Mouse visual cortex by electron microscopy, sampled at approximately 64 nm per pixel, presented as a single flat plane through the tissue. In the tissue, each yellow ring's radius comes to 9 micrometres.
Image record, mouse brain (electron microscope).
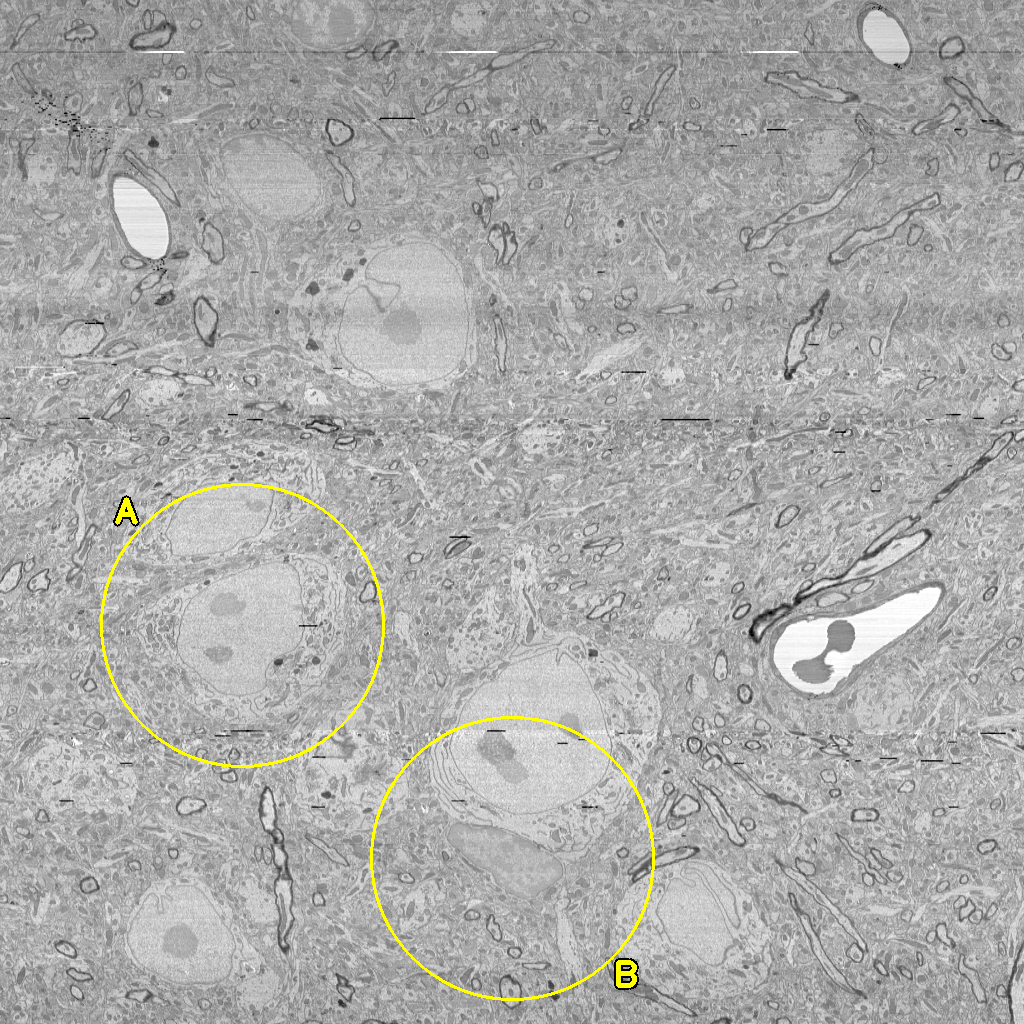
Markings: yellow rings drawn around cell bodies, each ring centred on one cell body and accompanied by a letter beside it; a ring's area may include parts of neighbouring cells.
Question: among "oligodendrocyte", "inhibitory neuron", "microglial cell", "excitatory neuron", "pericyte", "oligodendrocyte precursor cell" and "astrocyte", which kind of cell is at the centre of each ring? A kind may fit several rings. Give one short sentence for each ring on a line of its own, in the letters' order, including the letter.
Ring A is centred on the cell body of an inhibitory neuron.
Ring B is centred on the cell body of a microglial cell.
